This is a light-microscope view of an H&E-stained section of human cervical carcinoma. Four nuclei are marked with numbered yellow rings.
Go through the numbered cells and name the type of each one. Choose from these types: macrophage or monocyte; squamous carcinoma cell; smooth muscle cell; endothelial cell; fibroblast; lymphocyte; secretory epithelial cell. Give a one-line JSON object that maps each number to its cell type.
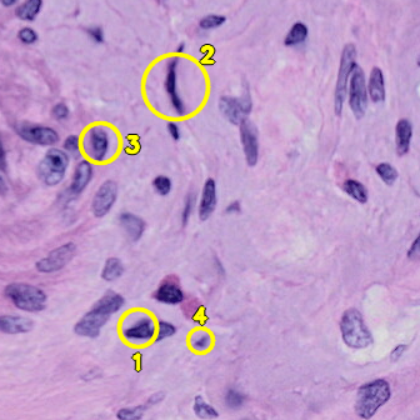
{"1": "fibroblast", "2": "fibroblast", "3": "smooth muscle cell", "4": "fibroblast"}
